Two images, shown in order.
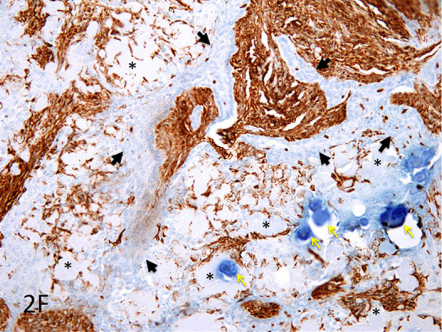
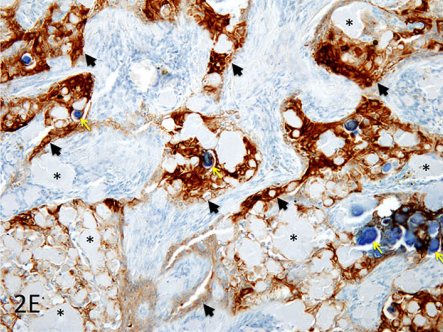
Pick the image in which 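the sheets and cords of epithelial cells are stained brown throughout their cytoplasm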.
the second image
